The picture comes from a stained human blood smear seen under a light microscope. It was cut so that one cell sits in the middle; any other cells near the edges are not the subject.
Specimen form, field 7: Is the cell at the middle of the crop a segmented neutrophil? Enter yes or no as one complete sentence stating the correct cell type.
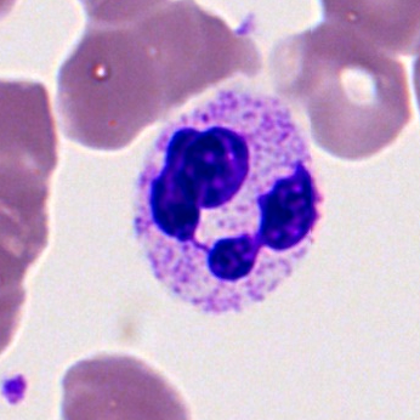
Yes, the cell occupying the center is a segmented neutrophil.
